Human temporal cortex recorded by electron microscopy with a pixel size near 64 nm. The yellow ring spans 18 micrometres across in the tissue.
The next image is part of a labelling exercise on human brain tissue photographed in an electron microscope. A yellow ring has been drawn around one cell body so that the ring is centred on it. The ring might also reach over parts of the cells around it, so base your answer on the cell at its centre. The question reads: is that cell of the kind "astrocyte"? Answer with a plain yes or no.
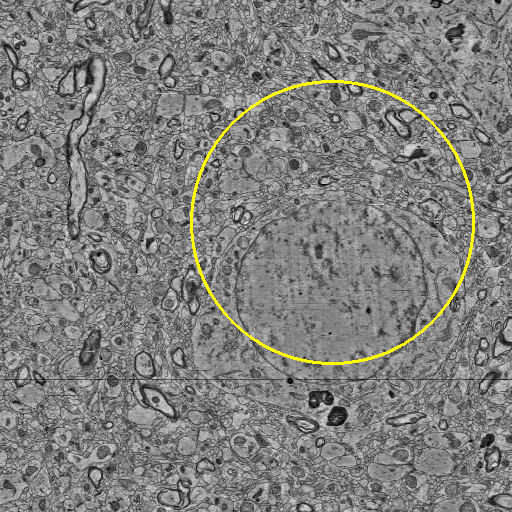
no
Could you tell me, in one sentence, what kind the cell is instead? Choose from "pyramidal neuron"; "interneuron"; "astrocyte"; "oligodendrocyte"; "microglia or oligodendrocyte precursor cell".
The cell that the ring is centred on is a pyramidal neuron.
